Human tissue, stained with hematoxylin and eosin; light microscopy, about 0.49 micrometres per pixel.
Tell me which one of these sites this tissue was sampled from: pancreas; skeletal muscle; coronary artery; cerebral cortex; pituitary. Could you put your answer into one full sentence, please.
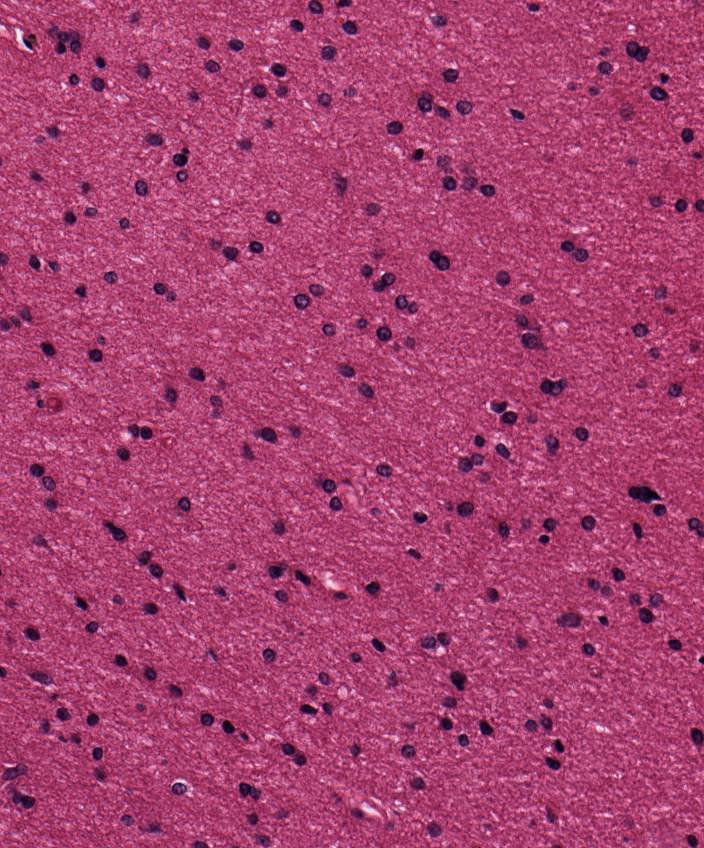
By sampling the cerebral cortex, this tissue was obtained.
